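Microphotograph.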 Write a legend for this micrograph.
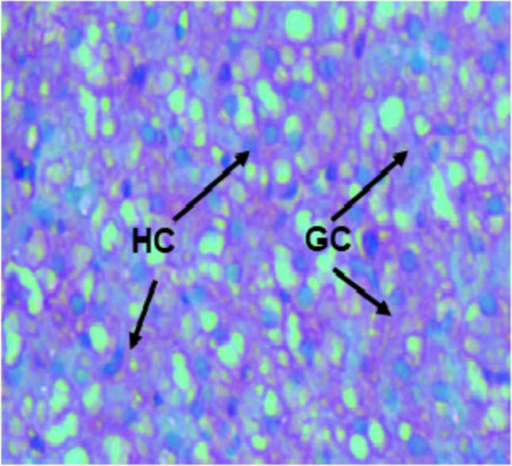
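Small rounded blue-stained nuclei are scattered through the tissue, and many pale, rounded clear spaces lie among the cells. The cytoplasm has a mottled, slightly granular purple-blue texture.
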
